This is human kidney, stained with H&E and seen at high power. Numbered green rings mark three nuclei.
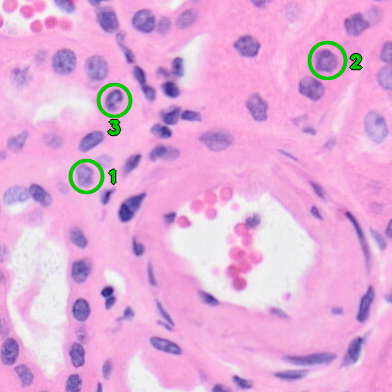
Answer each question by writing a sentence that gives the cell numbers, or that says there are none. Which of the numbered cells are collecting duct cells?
The cells 1 and 3 in this section are collecting duct cells.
